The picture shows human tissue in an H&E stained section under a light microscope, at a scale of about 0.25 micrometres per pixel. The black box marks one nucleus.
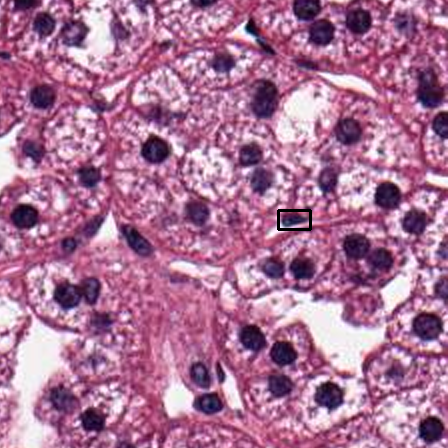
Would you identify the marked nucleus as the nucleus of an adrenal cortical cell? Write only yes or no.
no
